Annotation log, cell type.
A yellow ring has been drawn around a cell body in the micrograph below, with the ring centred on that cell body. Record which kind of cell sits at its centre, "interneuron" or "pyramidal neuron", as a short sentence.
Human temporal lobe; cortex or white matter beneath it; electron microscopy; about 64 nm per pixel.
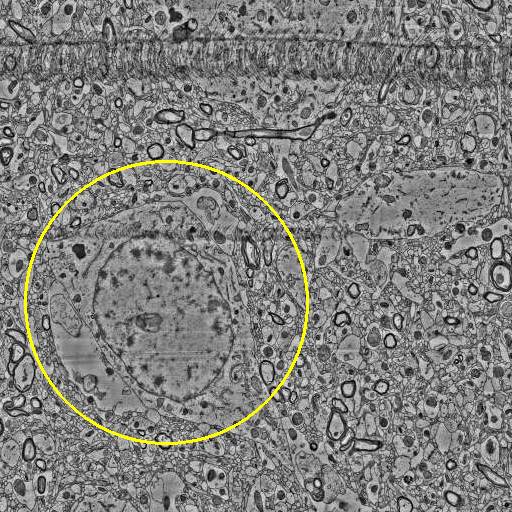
The cell at the centre of this ring is an interneuron.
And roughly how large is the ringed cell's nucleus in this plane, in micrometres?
About 11 by 9 micrometres in this plane.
